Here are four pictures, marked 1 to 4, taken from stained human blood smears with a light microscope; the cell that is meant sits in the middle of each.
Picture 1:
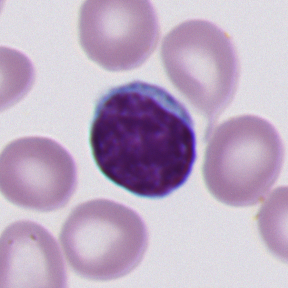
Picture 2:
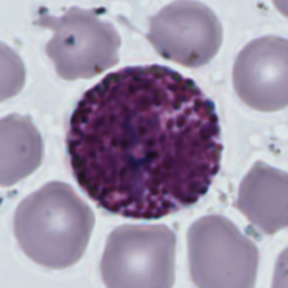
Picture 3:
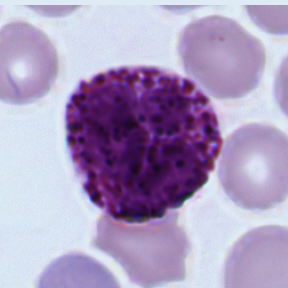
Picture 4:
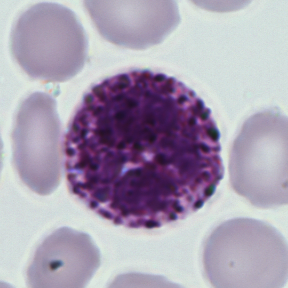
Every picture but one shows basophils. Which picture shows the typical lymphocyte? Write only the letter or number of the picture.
1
